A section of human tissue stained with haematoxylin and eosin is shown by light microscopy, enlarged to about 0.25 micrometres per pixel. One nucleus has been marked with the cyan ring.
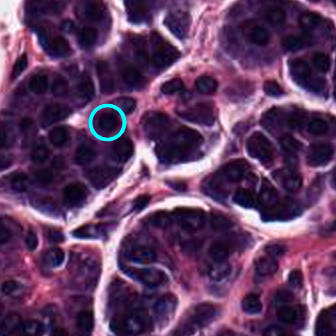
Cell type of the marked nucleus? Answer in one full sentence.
The cell to which the marked nucleus belongs is a pancreatic acinar cell.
